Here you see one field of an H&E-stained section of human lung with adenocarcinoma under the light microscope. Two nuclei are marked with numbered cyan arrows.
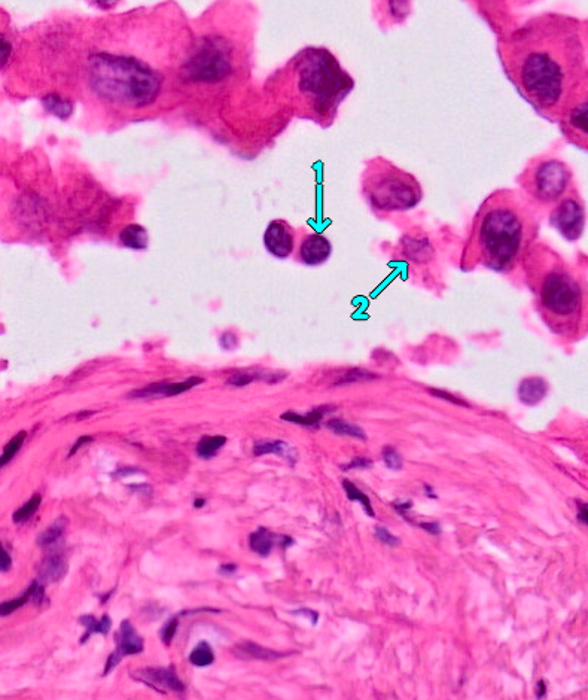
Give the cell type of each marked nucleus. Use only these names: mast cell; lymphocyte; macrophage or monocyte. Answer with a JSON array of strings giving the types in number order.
["lymphocyte", "macrophage or monocyte"]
